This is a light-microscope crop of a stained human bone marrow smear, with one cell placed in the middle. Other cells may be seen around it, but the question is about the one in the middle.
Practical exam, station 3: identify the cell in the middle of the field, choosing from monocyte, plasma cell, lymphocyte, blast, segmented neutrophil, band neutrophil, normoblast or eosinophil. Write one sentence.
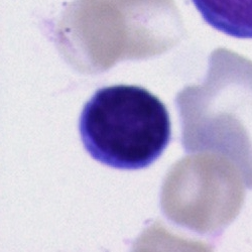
As for the central cell, it is a lymphocyte.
